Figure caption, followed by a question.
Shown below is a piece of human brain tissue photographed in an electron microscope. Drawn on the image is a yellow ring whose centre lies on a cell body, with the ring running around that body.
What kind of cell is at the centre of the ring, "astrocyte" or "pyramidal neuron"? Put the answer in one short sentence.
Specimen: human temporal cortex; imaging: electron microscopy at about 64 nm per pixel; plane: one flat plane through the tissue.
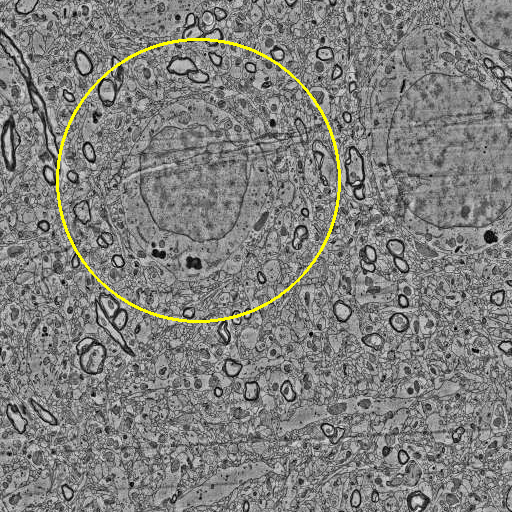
The ring marks the cell body of a pyramidal neuron.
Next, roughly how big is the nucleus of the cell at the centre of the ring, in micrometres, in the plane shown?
Roughly 8 micrometers across in this plane.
